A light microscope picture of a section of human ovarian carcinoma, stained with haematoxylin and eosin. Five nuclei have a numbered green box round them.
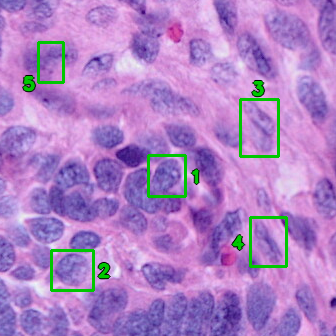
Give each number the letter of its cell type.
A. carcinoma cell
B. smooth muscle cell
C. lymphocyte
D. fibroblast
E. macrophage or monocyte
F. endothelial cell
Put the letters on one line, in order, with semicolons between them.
A; A; D; D; D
